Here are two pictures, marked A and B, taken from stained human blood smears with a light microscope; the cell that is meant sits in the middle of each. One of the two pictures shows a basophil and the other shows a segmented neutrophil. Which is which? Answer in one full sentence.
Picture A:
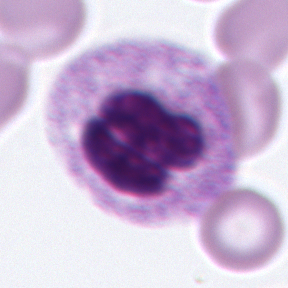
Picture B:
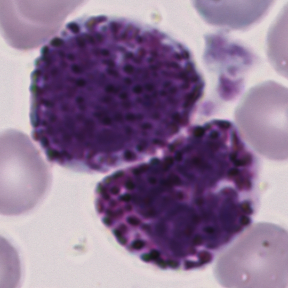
Picture B shows a basophil, while picture A shows a segmented neutrophil.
